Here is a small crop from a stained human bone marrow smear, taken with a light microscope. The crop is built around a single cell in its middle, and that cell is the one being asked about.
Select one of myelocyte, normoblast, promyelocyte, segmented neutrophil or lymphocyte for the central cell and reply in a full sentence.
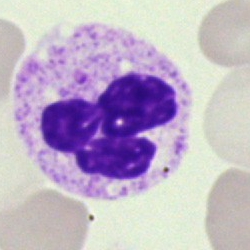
The cell marked by its central position in the crop is a segmented neutrophil.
